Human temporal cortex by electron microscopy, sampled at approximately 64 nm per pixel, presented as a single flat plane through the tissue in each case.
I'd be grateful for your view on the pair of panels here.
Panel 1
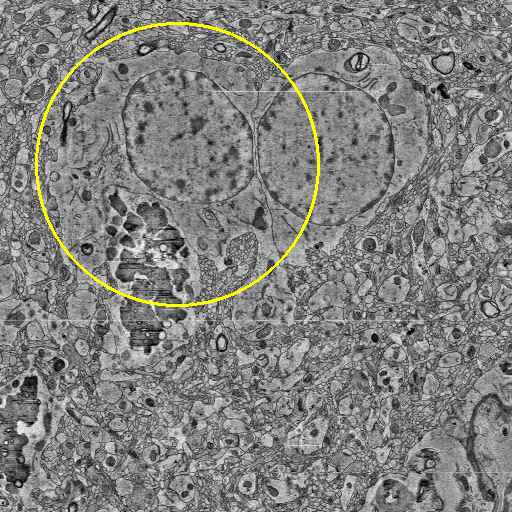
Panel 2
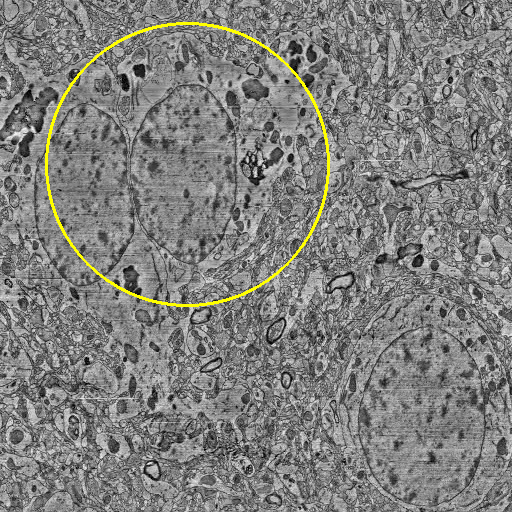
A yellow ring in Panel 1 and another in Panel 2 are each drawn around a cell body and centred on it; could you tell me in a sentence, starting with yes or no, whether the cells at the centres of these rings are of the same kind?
Yes, they are the same kind of cell.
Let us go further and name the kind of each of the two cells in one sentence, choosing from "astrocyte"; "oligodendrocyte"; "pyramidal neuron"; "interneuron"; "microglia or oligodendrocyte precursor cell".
Each one of the two ringed cells is an astrocyte.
